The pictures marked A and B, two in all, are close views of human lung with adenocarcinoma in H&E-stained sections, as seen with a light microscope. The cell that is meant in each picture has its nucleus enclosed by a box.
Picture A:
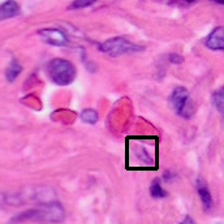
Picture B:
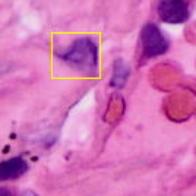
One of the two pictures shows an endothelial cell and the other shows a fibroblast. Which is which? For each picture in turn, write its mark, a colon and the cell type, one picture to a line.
A: endothelial cell
B: fibroblast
